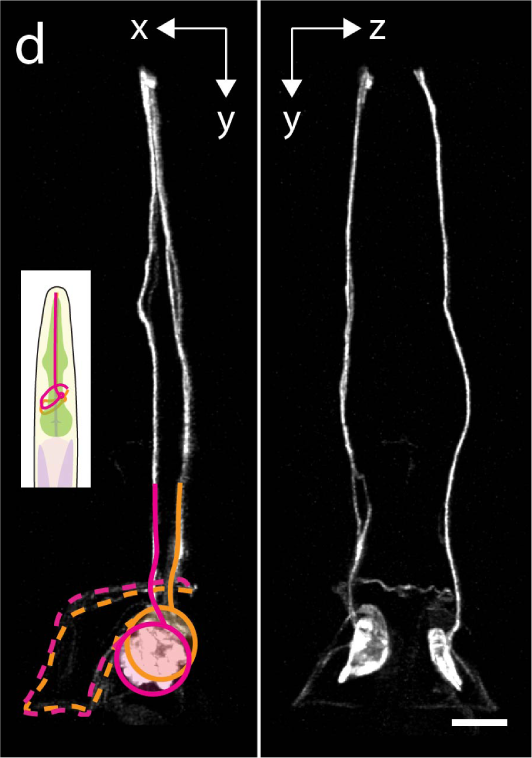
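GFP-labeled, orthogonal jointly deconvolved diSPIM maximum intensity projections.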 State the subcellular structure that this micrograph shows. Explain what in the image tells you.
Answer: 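Long, thin, paired fluorescent processes run the length of the panel. The processes arise from bright rounded bodies near the bottom.
Conclusion: axons and dendrites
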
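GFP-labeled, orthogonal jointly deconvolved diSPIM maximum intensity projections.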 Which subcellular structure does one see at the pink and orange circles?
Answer: Cell bodies.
